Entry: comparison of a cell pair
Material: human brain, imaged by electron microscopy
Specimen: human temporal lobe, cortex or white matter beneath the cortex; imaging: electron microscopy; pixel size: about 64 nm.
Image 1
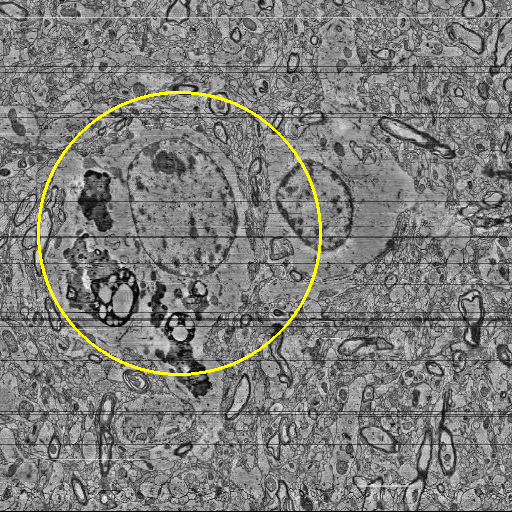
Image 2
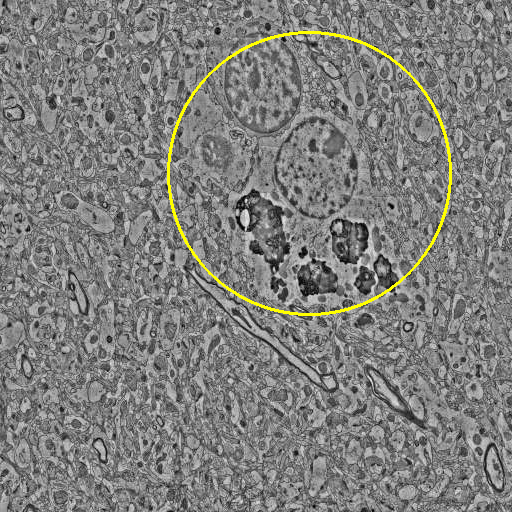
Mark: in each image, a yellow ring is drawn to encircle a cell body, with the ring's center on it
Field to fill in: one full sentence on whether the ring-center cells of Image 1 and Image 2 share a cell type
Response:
Yes, Image 1 and Image 2 each show a ring-center cell of one shared type.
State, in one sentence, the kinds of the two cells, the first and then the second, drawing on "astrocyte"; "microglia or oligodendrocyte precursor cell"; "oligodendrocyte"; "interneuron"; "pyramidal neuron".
Each one of the two ringed cells is an astrocyte.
